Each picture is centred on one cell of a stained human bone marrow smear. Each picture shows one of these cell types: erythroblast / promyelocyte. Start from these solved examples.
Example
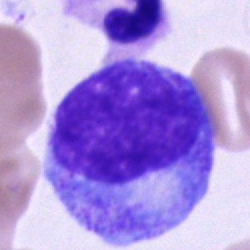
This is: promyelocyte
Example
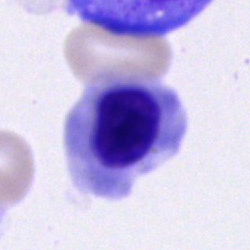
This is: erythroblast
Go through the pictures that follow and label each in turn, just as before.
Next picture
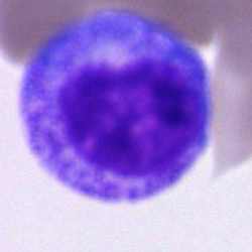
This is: promyelocyte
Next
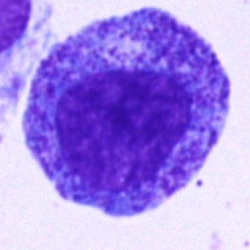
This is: promyelocyte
